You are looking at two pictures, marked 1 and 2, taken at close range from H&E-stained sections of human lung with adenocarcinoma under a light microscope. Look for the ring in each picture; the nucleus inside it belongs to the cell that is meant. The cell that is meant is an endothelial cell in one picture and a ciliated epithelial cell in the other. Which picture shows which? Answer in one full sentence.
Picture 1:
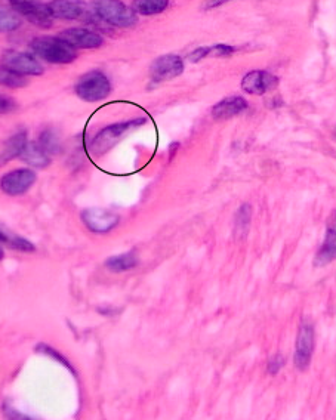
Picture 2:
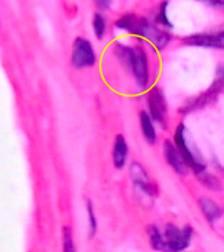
Picture 2 shows a ciliated epithelial cell, while picture 1 shows an endothelial cell.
